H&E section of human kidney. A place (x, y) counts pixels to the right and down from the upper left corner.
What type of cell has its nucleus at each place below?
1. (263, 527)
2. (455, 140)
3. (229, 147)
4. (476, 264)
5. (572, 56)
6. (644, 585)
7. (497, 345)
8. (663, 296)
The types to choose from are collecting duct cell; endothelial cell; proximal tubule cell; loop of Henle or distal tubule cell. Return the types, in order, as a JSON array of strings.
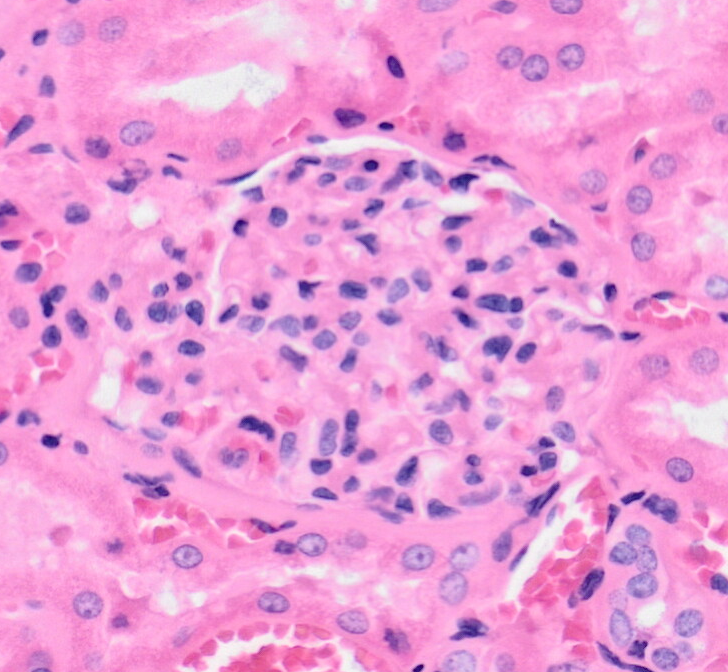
["endothelial cell", "proximal tubule cell", "proximal tubule cell", "endothelial cell", "proximal tubule cell", "collecting duct cell", "endothelial cell", "endothelial cell"]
